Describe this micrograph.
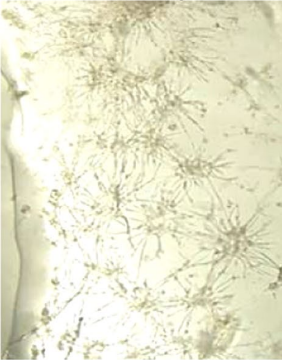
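Many cells form star-shaped clusters: a small dense centre from which numerous thin, straight processes radiate in all directions. The processes of neighbouring clusters reach toward one another, forming a loose network through the gel. A few compact darker aggregates lie among the star-shaped clusters. The gel between them is clear.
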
